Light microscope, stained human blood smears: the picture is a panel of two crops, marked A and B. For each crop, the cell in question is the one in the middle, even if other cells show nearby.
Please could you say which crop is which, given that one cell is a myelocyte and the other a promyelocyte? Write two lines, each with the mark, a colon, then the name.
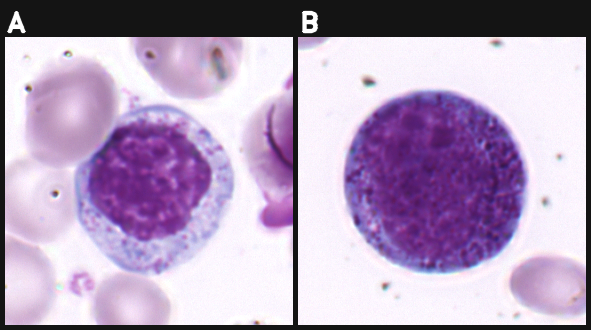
A: myelocyte
B: promyelocyte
